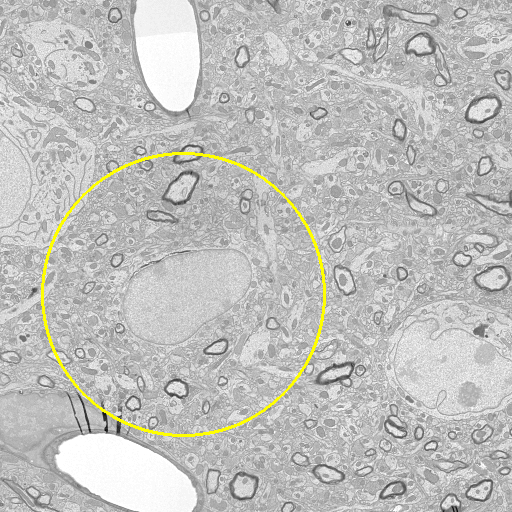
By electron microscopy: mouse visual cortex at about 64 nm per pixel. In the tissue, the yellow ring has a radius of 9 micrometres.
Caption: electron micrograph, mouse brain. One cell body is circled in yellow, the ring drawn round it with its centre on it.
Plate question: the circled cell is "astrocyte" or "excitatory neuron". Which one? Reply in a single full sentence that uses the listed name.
The yellow ring on the plate is centred on an astrocyte, going by the listed names.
